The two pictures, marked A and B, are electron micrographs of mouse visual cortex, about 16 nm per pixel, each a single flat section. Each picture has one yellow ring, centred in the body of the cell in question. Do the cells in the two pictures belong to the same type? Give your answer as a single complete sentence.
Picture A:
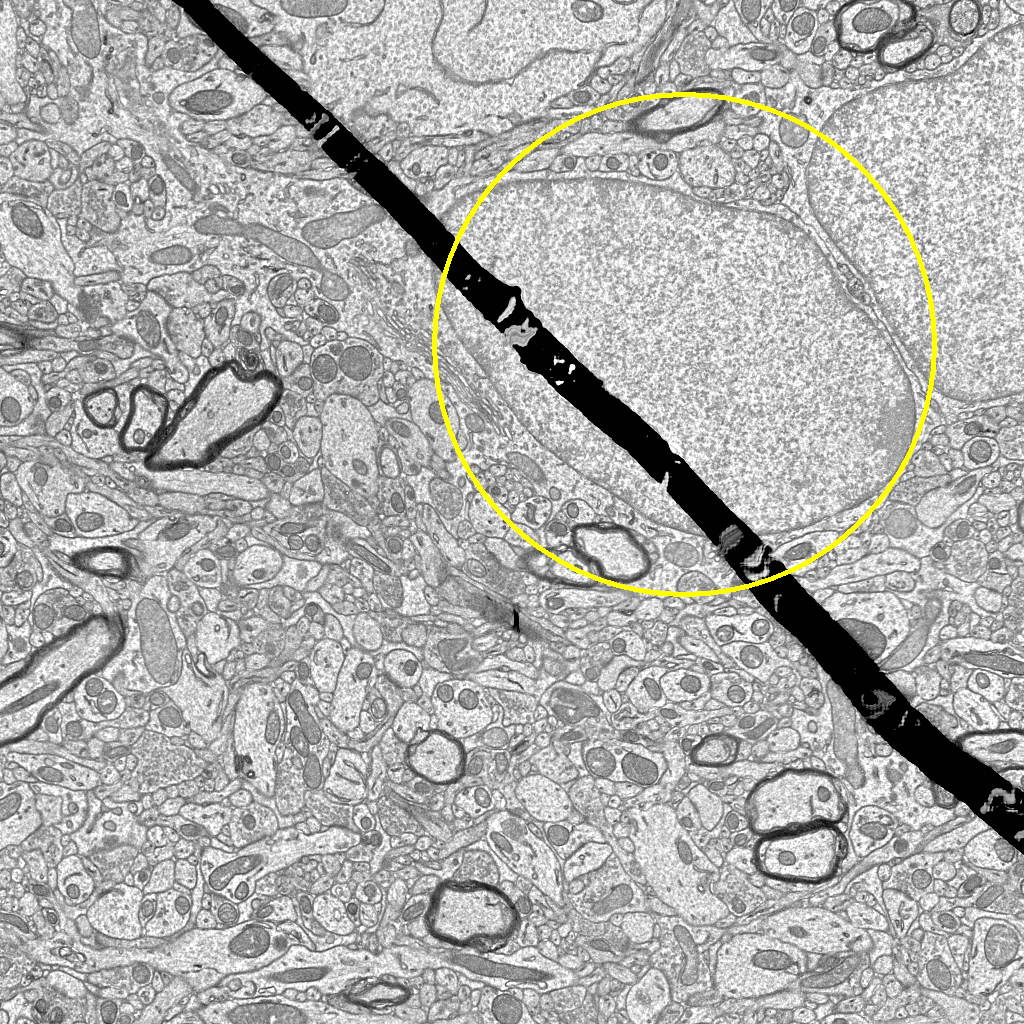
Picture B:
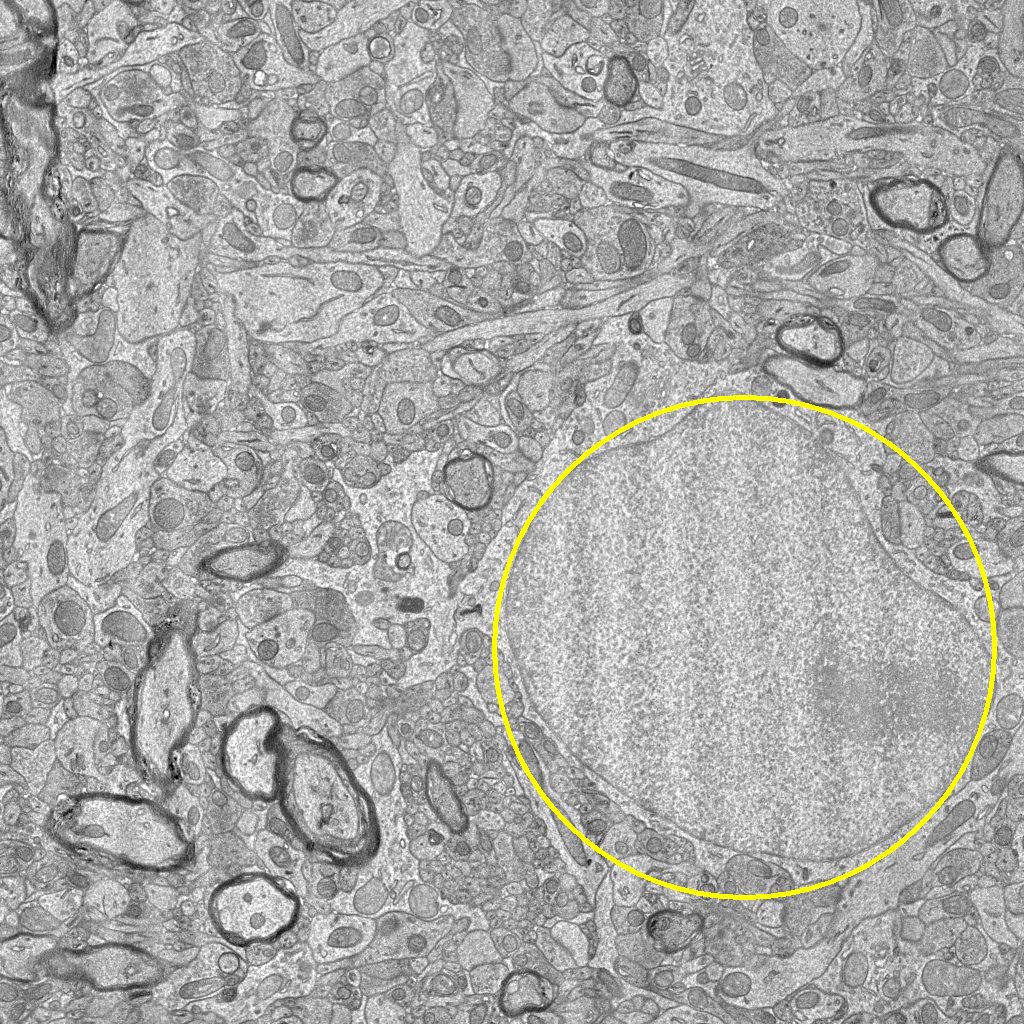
Yes, both are astrocytes.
